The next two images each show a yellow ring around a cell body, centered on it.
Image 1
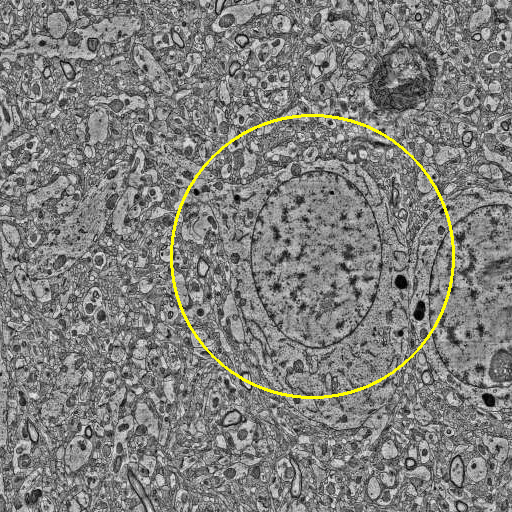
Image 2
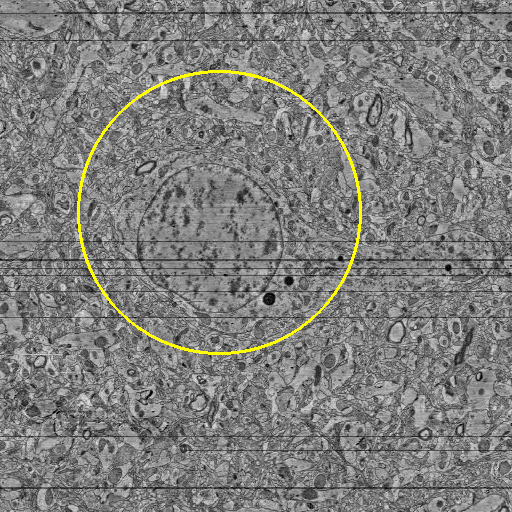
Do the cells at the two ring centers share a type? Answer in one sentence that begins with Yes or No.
Yes, across the two images the cells at the ring centers share one type.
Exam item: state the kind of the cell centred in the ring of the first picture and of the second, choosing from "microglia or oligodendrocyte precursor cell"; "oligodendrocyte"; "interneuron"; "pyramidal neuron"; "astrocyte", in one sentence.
Both the first and the second picture show a pyramidal neuron in the ring.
